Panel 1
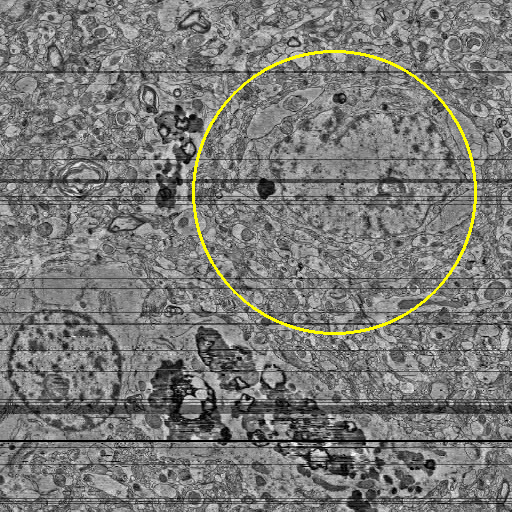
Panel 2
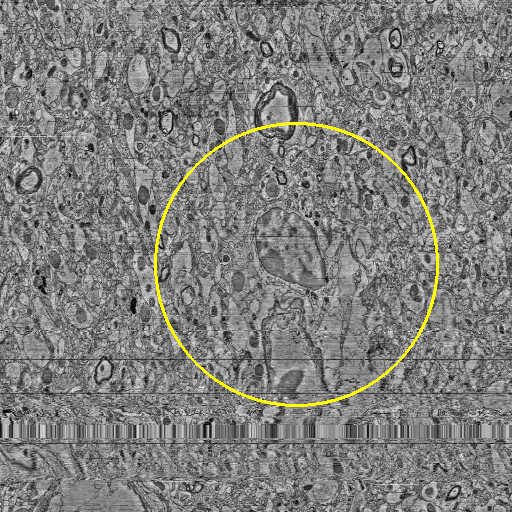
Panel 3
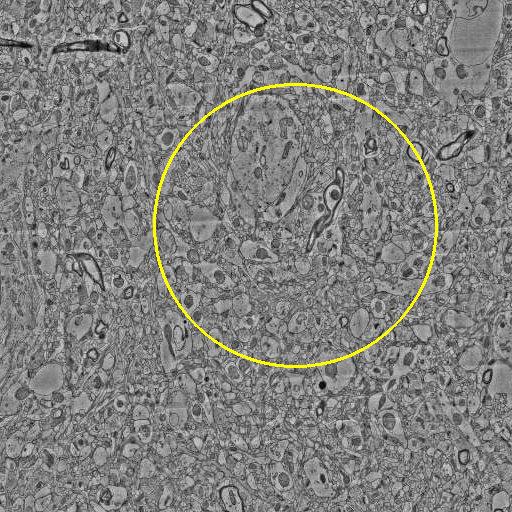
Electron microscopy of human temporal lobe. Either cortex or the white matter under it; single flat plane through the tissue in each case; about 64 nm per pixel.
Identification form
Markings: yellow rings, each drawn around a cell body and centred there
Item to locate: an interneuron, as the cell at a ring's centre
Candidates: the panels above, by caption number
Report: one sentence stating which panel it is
It is Panel 1.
